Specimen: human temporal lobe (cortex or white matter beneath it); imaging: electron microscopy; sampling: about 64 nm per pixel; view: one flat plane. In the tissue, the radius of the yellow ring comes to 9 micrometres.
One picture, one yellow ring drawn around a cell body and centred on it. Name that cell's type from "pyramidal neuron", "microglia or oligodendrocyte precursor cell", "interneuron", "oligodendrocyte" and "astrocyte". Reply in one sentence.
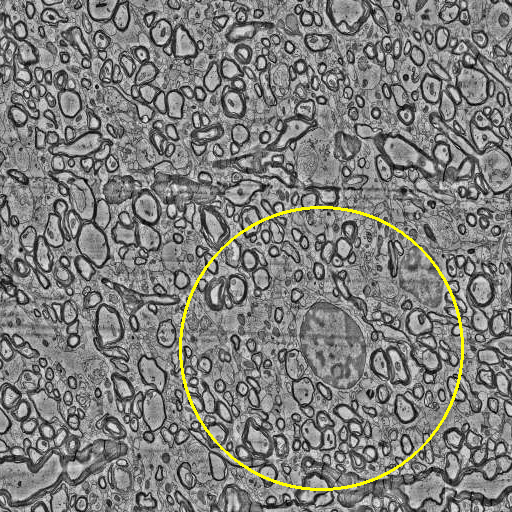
Centred in the ring is a microglial cell or oligodendrocyte precursor cell.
